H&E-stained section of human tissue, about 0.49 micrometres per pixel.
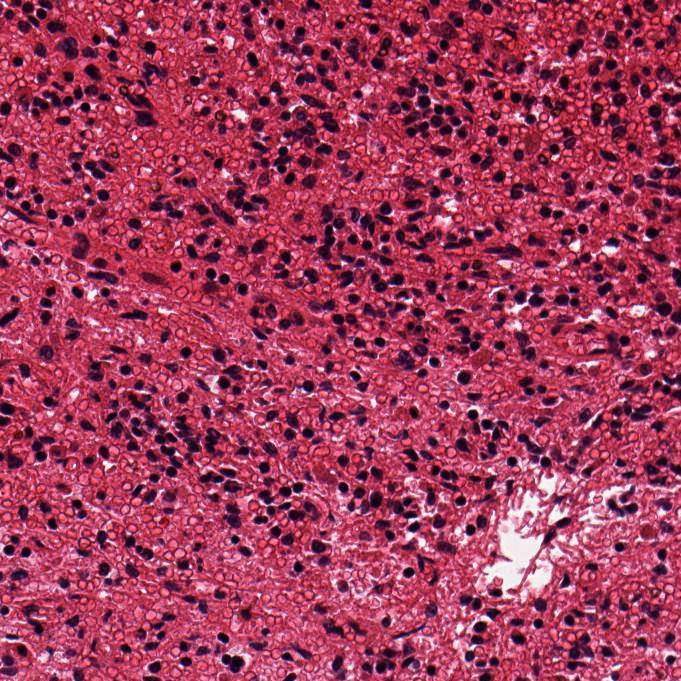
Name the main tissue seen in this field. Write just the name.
red pulp of the spleen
